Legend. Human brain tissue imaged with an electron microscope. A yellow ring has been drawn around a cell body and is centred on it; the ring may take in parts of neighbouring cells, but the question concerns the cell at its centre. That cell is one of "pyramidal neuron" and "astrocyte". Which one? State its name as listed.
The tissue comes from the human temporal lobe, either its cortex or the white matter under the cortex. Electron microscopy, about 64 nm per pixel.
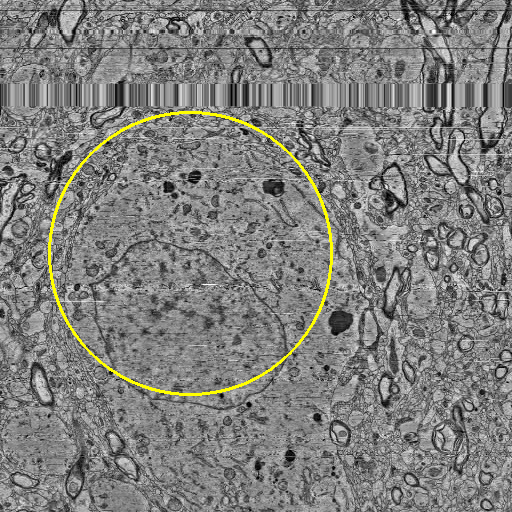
pyramidal neuron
